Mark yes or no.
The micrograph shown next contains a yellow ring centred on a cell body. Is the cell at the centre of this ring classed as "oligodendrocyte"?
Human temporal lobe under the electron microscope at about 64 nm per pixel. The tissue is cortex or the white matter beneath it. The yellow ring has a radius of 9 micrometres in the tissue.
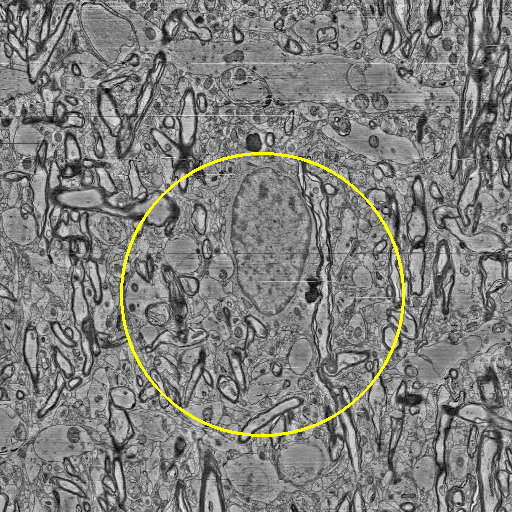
yes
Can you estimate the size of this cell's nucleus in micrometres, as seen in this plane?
Roughly 10 micrometres long and 5 micrometres wide; in this plane the nucleus is clearly longer than it is wide.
